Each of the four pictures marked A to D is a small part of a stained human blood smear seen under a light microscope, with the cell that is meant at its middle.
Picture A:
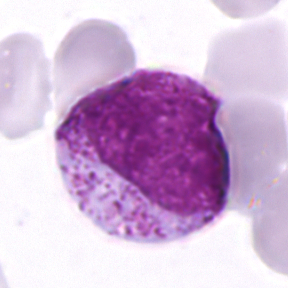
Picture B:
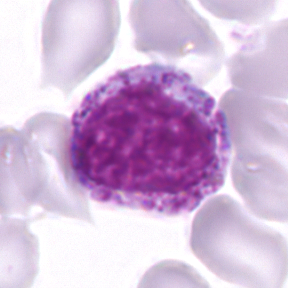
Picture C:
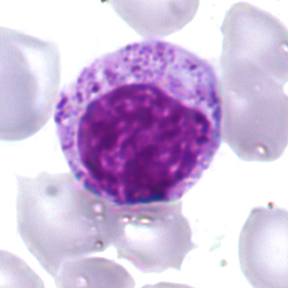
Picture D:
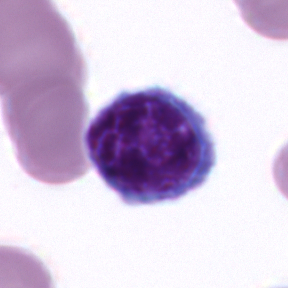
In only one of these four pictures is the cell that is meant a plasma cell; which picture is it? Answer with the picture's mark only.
D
